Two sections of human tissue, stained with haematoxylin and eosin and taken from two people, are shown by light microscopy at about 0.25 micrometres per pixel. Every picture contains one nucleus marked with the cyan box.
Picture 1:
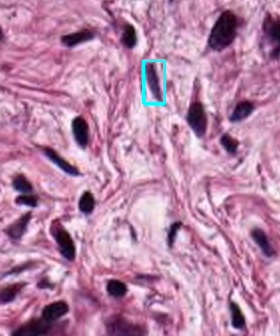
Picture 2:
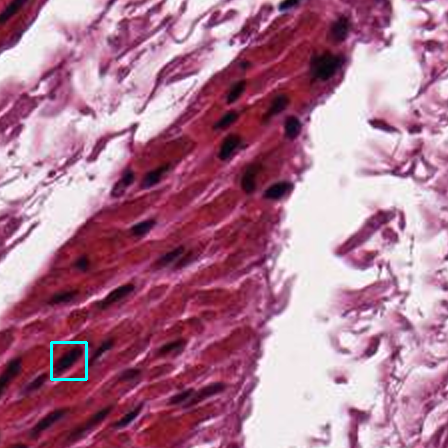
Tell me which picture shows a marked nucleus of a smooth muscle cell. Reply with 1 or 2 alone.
2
